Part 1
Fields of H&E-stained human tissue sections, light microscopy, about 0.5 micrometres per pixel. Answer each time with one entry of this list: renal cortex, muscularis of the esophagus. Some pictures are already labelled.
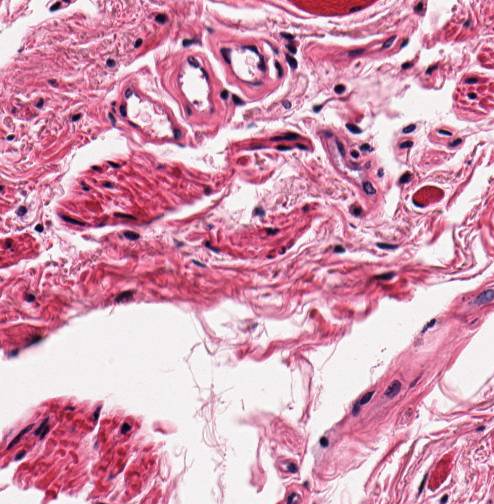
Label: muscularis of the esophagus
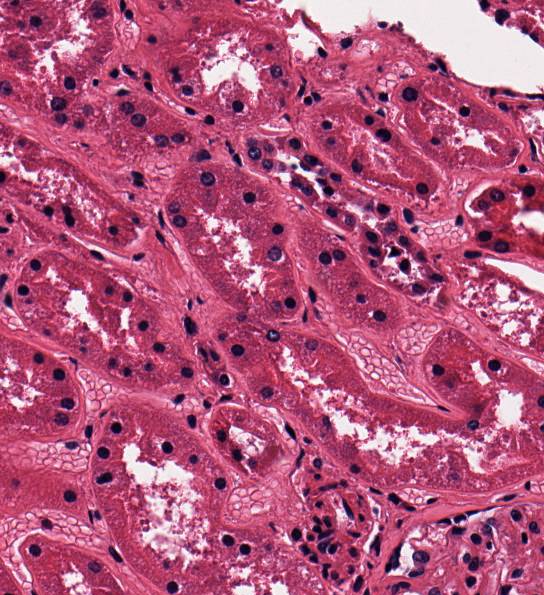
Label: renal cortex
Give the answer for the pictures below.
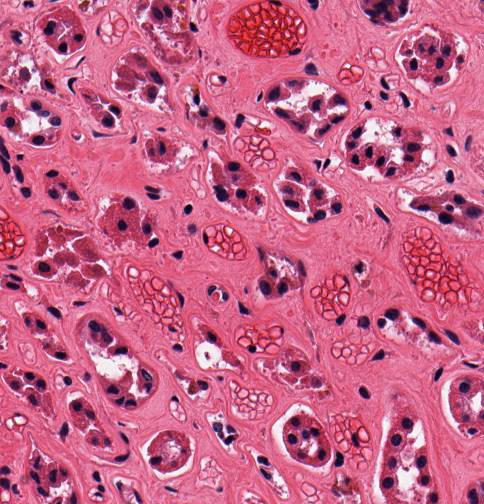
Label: renal cortex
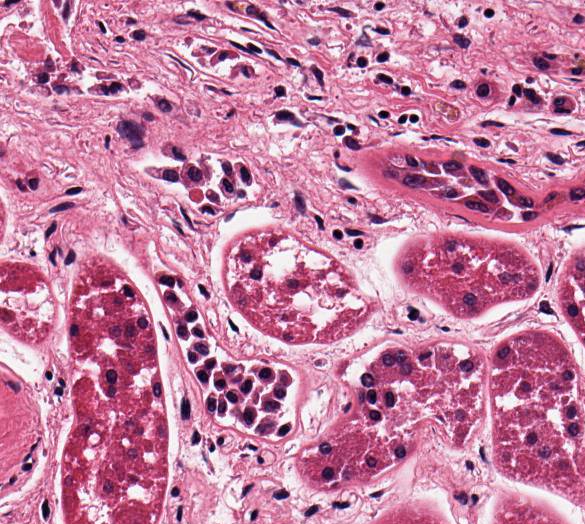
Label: renal cortex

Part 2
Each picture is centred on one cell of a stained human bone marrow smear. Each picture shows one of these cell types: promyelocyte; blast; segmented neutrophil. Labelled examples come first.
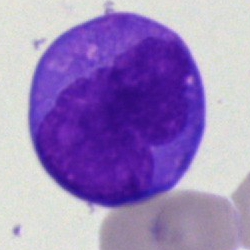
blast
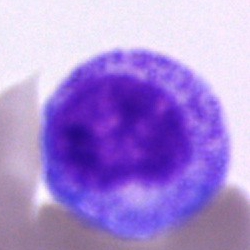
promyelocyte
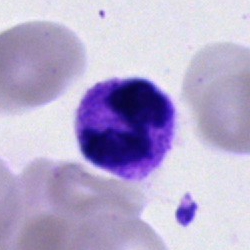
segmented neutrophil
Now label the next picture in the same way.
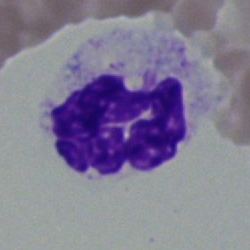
segmented neutrophil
